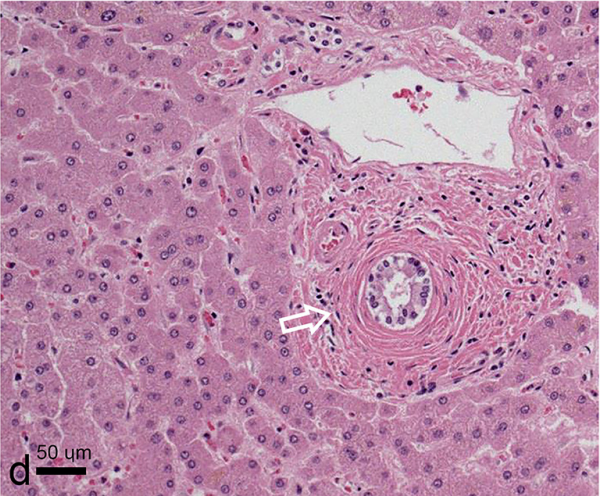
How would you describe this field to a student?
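This is liver around a portal tract, with plates of large polygonal liver cells that have pink cytoplasm and round central nuclei. In the portal area lies a thin-walled, open vessel, and beside it a small bile duct lined by a ring of cuboidal cells. The duct is wrapped in many concentric layers of pink fibrous tissue, like the skins of an onion, with scattered dark, elongated and small round nuclei among them and at its edge. This layered collar around the duct is the striking abnormality, set against otherwise orderly liver cell plates.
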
